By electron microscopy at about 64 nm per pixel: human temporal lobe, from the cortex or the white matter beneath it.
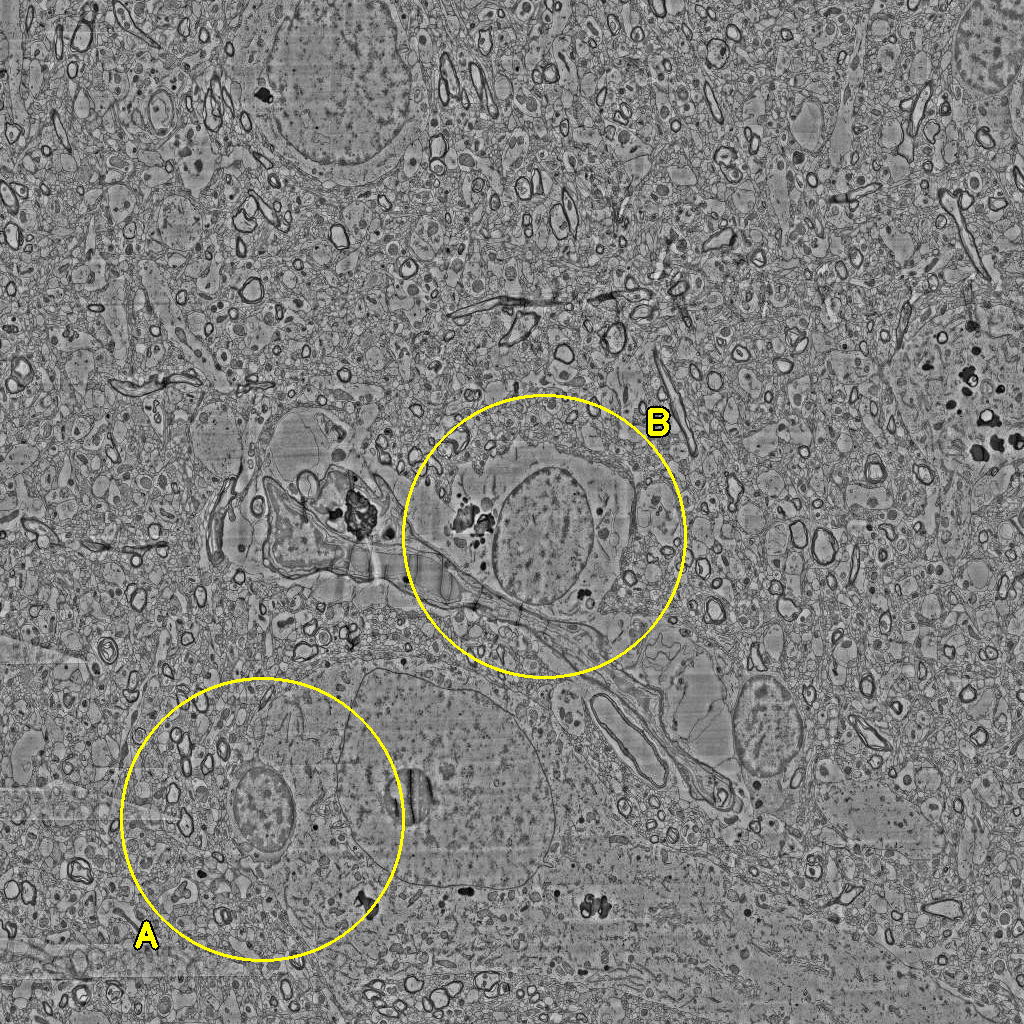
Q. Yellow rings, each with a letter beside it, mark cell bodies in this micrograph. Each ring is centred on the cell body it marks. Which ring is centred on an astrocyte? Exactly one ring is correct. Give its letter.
B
